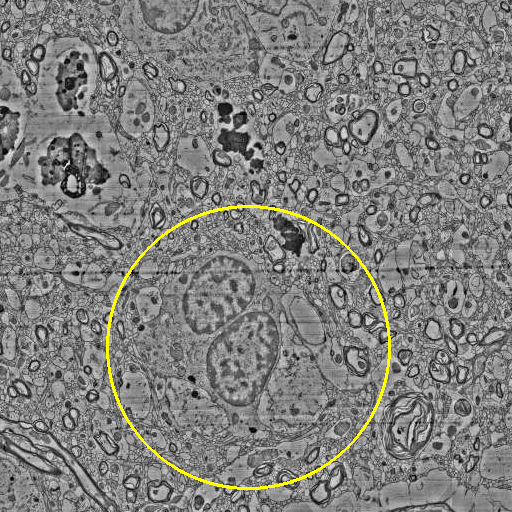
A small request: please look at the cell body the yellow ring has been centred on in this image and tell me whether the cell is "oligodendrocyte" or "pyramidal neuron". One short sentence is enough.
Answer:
The cell marked by the ring is an oligodendrocyte.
